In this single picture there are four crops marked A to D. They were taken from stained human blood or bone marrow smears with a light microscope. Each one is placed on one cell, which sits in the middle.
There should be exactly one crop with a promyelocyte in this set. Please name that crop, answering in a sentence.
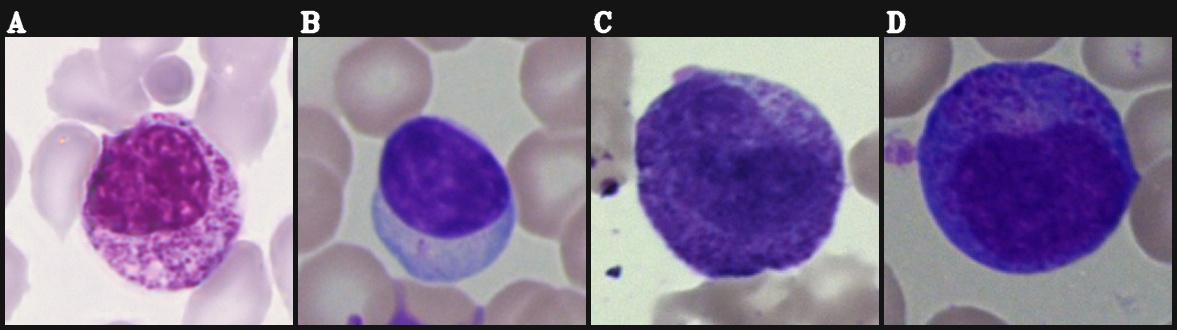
The requested cell, a promyelocyte, is the one in crop D.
